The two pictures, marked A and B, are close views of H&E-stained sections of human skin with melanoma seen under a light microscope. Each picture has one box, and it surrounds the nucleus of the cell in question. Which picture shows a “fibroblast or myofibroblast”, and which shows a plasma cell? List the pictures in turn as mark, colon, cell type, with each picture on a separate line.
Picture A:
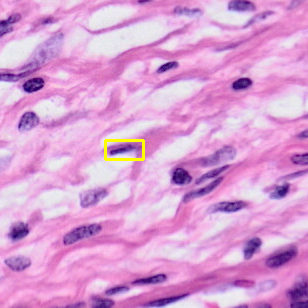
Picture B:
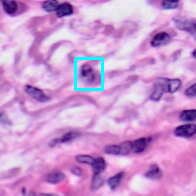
A: fibroblast or myofibroblast
B: plasma cell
